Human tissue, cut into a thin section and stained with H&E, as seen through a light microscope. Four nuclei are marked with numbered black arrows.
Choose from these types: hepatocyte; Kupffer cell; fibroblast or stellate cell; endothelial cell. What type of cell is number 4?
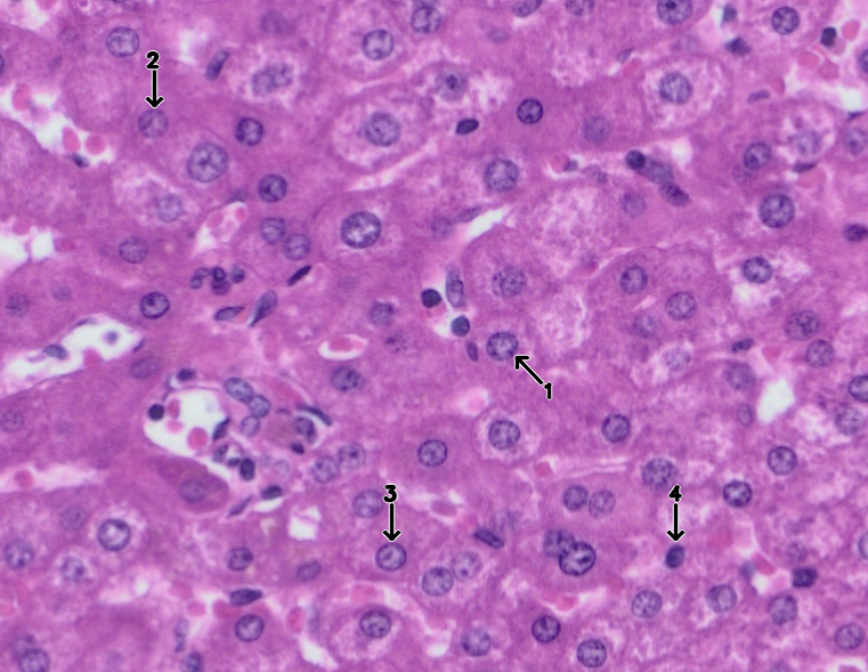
fibroblast or stellate cell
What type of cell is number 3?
hepatocyte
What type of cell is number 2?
hepatocyte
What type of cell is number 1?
hepatocyte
